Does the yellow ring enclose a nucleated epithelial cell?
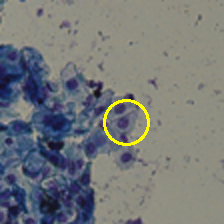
Yes. The ring encloses a nucleated epithelial cell.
